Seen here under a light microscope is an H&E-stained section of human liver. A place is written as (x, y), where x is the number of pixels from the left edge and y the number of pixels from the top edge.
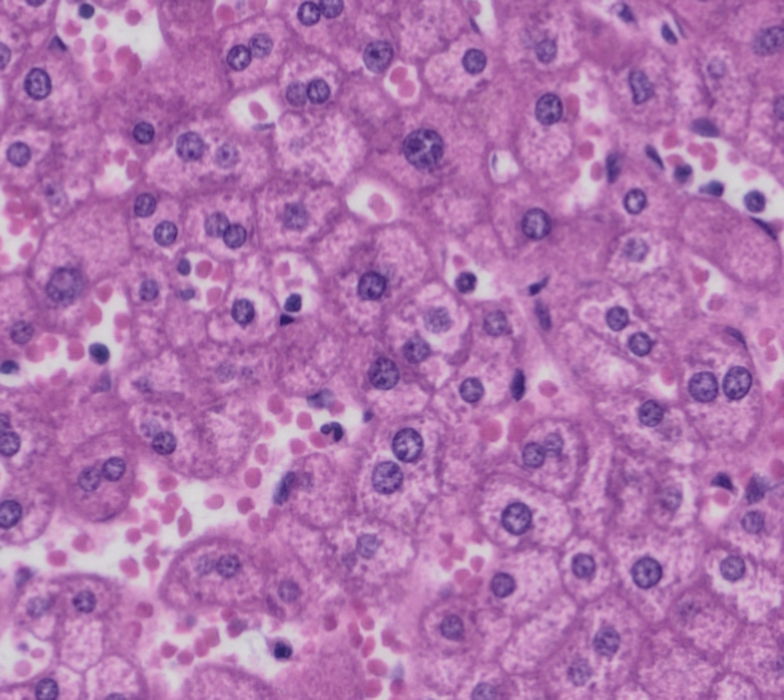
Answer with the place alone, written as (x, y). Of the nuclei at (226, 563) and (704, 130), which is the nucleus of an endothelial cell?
(704, 130)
